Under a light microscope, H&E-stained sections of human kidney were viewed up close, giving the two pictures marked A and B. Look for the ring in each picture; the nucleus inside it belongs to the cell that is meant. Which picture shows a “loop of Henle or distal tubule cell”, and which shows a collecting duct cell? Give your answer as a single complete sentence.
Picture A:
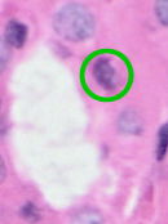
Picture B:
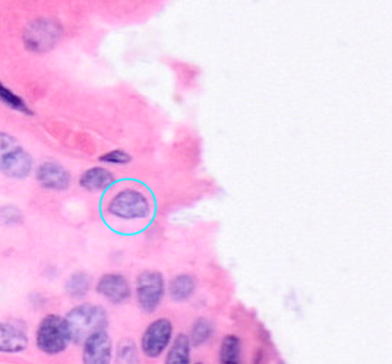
In picture A the cell is a “loop of Henle or distal tubule cell”; in picture B, a collecting duct cell.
